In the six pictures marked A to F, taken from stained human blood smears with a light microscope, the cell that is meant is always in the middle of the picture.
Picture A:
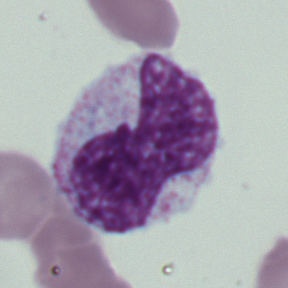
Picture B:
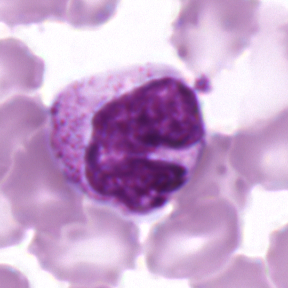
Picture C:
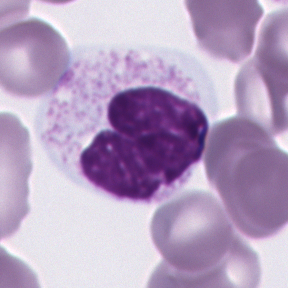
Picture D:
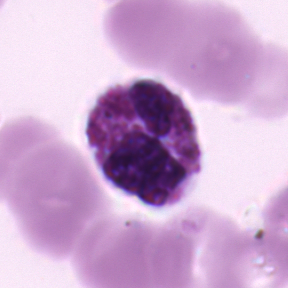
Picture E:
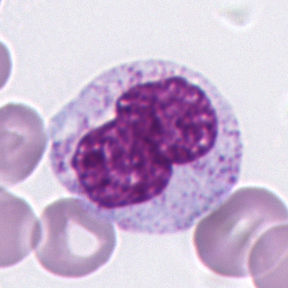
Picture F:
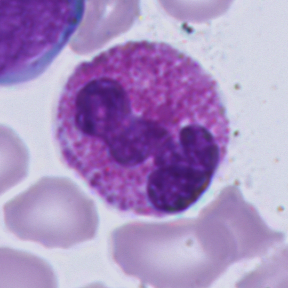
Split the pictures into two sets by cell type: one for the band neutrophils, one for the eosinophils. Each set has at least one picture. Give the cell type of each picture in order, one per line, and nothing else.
band neutrophil
band neutrophil
band neutrophil
eosinophil
band neutrophil
eosinophil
